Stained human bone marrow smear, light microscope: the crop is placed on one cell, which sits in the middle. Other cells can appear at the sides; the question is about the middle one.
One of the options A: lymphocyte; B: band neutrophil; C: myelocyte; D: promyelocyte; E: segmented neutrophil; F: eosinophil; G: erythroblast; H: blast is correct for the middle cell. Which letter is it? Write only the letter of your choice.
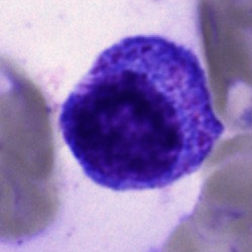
D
